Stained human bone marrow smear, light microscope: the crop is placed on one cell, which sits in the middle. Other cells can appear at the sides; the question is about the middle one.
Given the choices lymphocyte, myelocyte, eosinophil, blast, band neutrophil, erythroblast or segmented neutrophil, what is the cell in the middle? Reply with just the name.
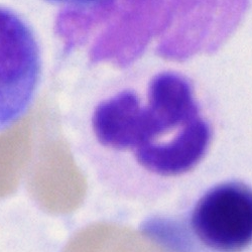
segmented neutrophil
